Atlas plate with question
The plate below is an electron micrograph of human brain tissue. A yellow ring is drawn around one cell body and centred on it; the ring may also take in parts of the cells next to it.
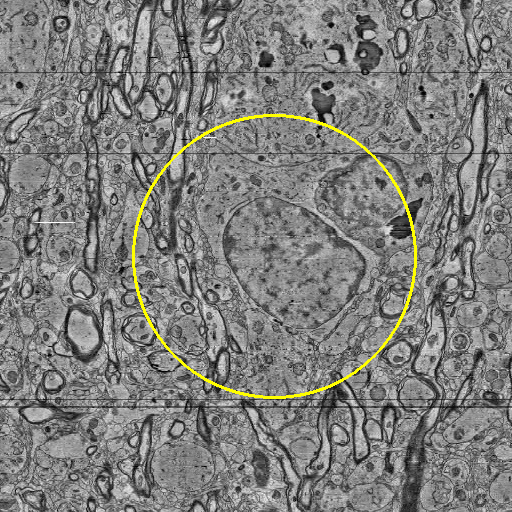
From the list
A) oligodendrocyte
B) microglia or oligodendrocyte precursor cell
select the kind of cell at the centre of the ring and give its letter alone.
B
